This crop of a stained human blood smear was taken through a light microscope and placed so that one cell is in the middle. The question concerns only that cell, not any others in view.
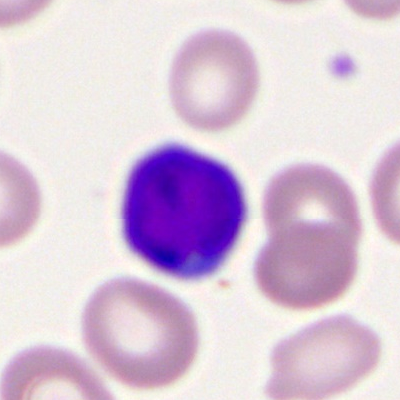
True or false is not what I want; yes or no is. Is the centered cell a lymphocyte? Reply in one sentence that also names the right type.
Yes, the cell at the center of the crop is a lymphocyte.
